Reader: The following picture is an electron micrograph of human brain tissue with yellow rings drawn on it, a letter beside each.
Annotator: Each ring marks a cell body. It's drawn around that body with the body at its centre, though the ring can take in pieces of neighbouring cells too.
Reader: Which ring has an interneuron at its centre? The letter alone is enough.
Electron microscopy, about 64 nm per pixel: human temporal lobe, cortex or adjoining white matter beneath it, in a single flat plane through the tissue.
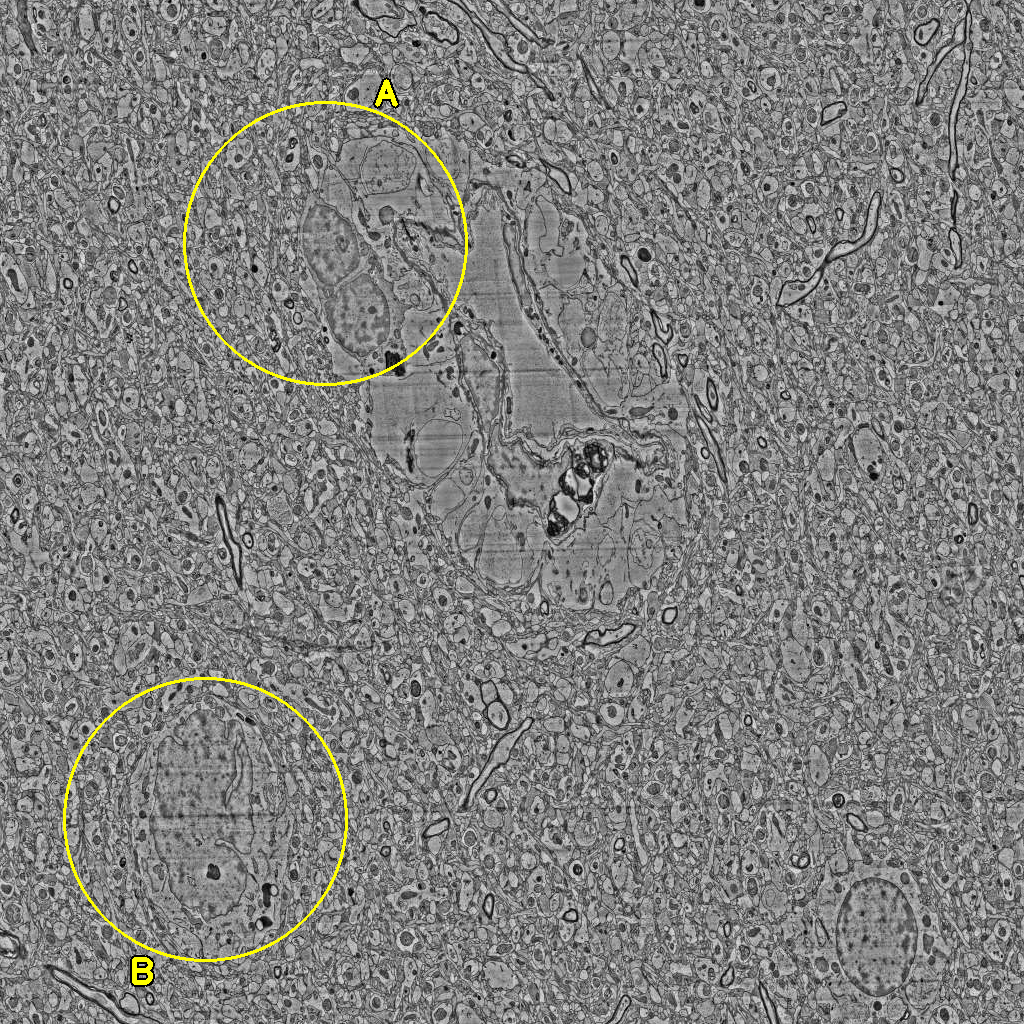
B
